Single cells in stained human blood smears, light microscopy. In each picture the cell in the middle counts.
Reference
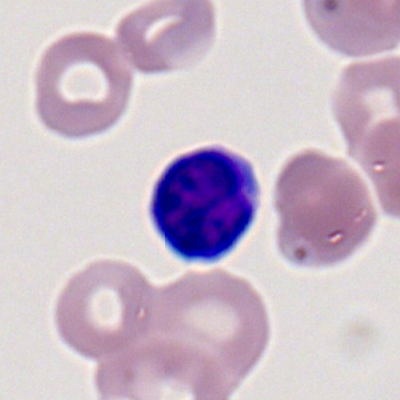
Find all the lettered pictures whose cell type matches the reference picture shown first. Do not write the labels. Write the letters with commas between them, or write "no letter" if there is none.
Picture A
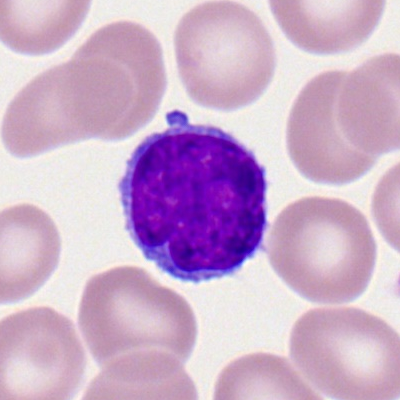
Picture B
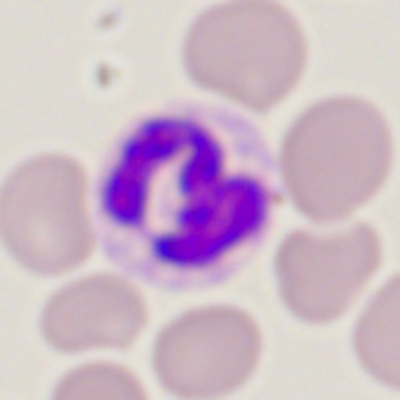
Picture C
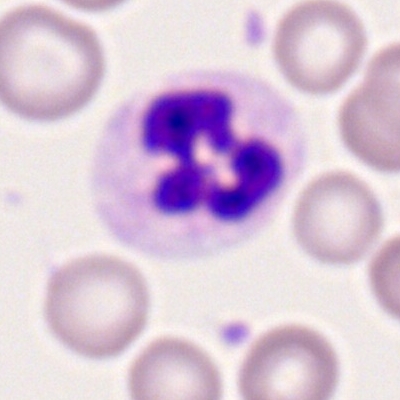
A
